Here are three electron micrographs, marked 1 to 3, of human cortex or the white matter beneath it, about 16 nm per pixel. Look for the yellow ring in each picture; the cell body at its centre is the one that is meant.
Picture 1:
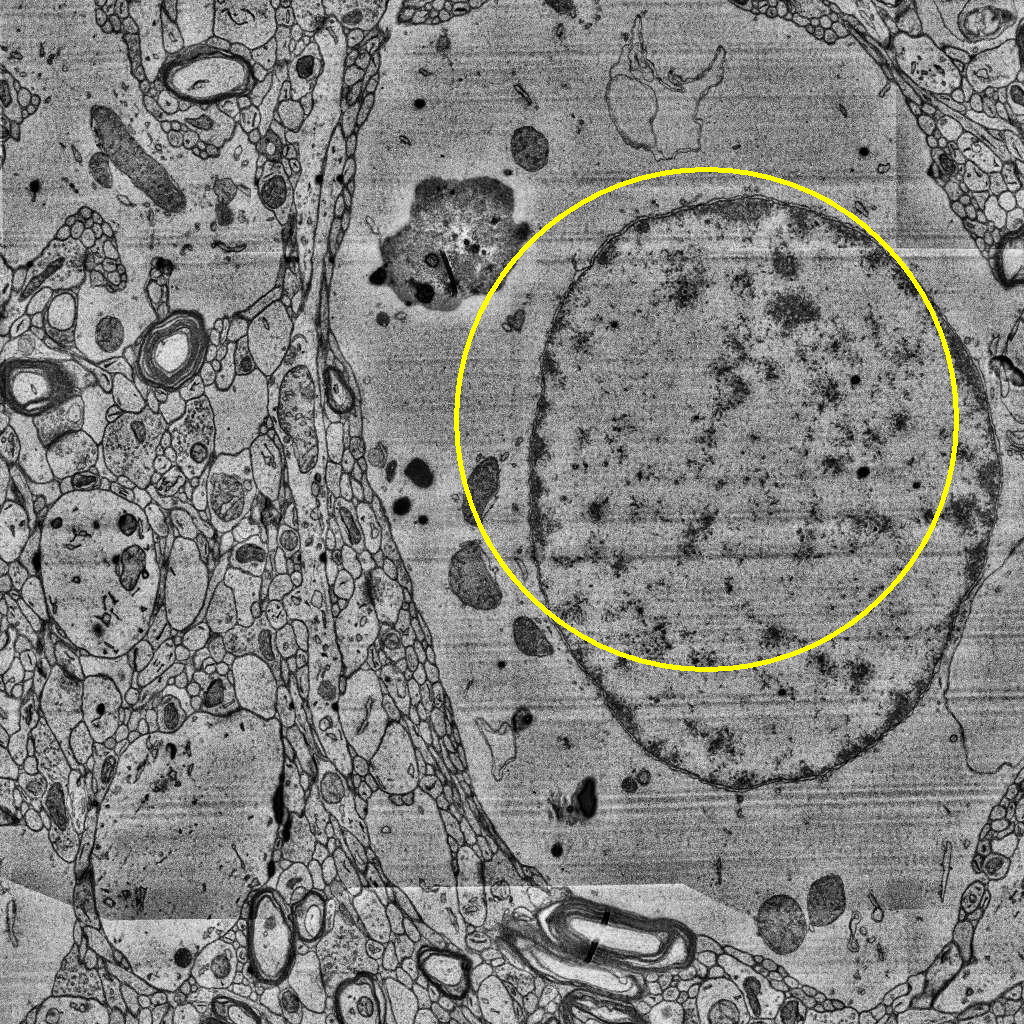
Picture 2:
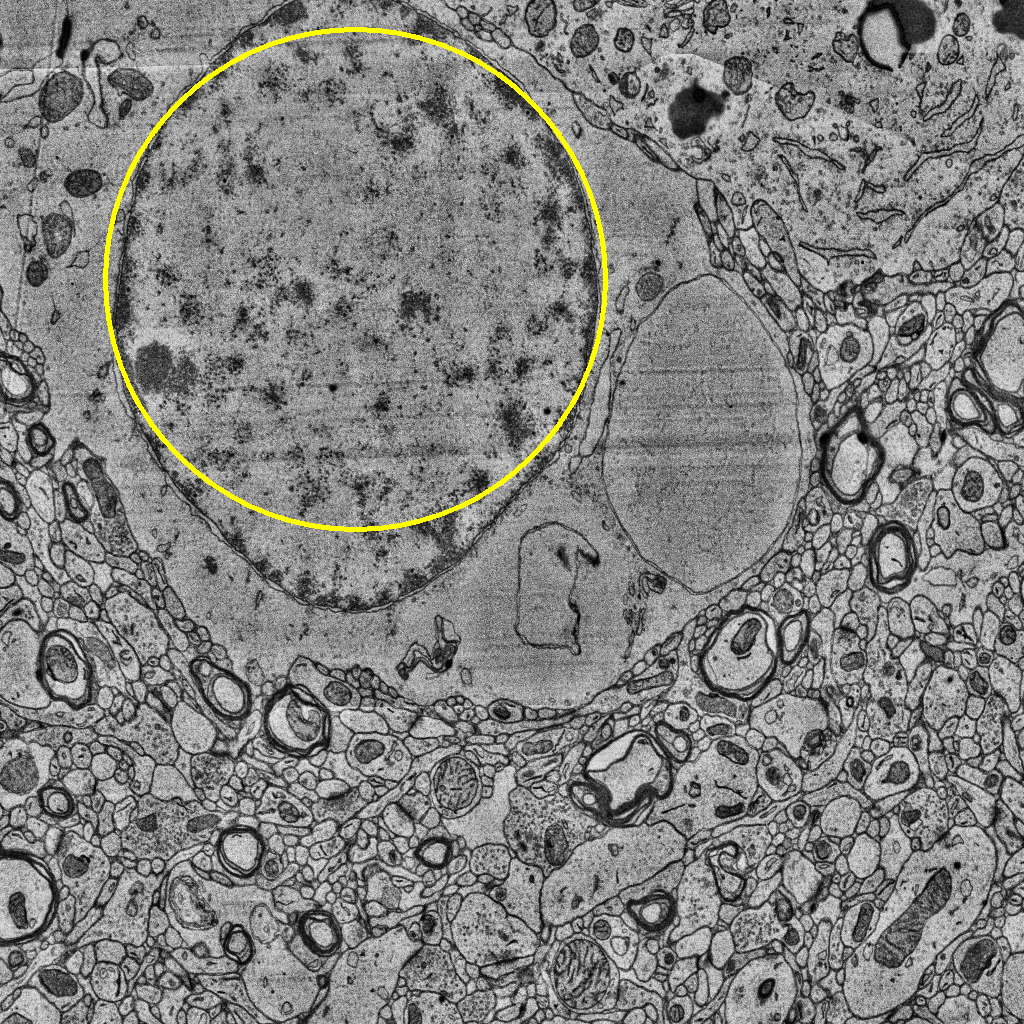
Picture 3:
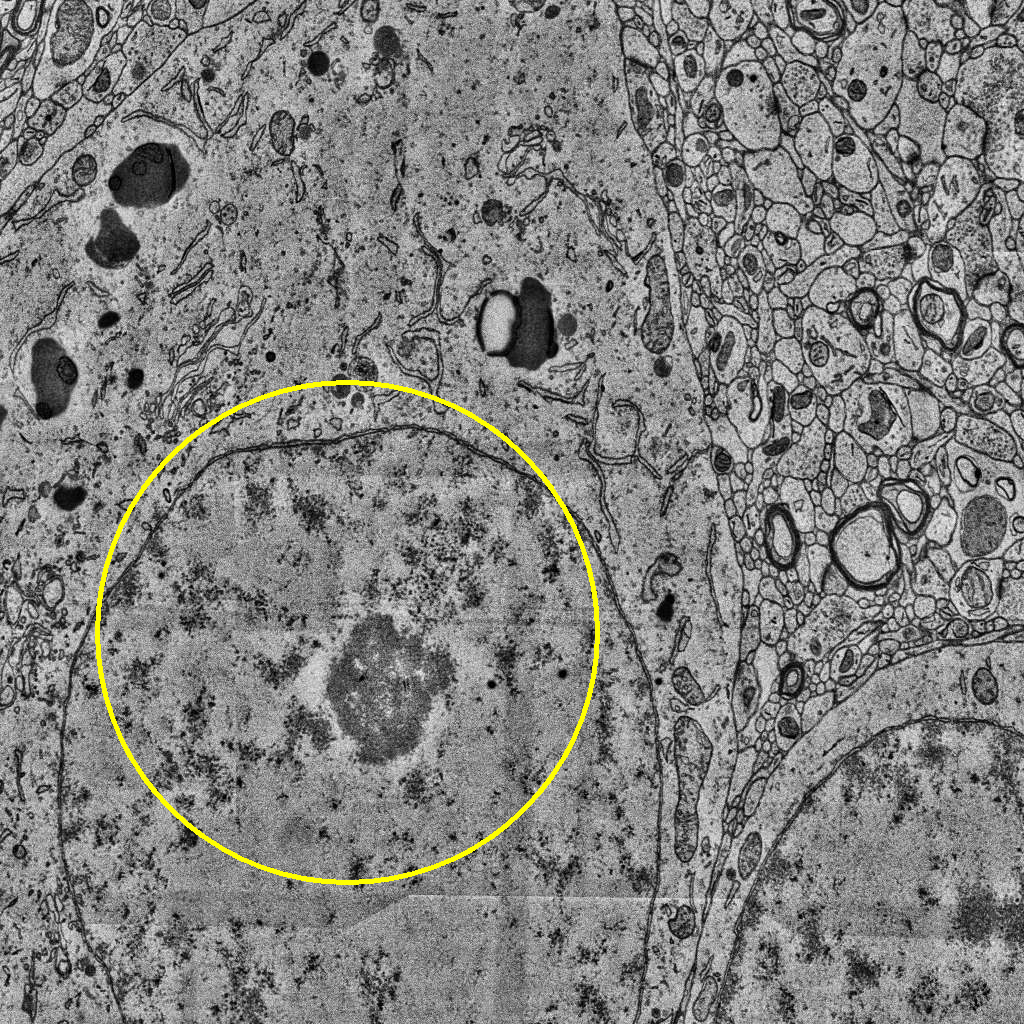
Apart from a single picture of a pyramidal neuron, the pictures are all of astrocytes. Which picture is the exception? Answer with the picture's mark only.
3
